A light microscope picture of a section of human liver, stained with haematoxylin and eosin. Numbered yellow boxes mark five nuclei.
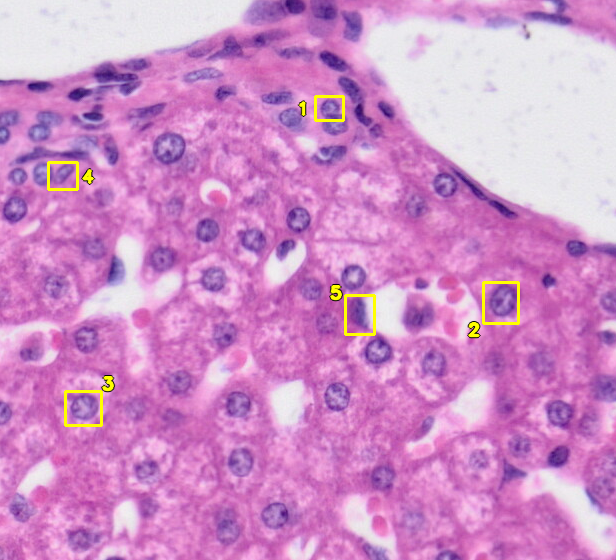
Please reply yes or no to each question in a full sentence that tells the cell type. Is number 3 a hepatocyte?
Yes, the cell distinguished by number 3 is a hepatocyte.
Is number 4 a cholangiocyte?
Yes, the cell tagged with the number 4 is a cholangiocyte.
